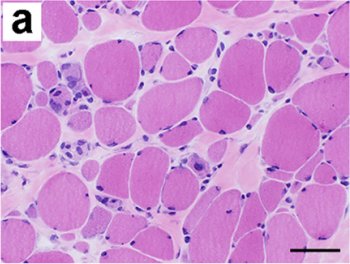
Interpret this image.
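Cross-section of skeletal muscle with pink fibers showing marked variation in size, from small to large. Many fibers are rounded rather than polygonal, and the pale connective tissue between them is widened. Nuclei are dark purple and sit at the fiber edges. A small cluster of cells with dark nuclei lies among the fibers.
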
